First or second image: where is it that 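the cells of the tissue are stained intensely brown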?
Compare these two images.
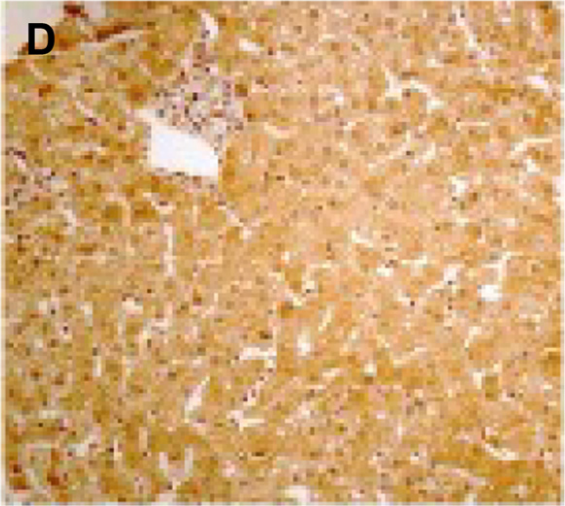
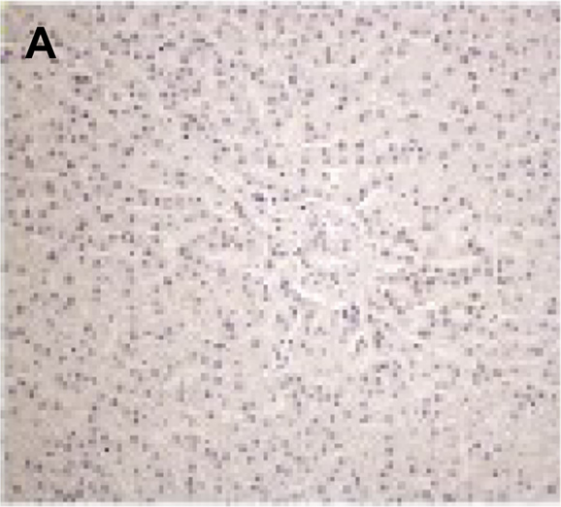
the first image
